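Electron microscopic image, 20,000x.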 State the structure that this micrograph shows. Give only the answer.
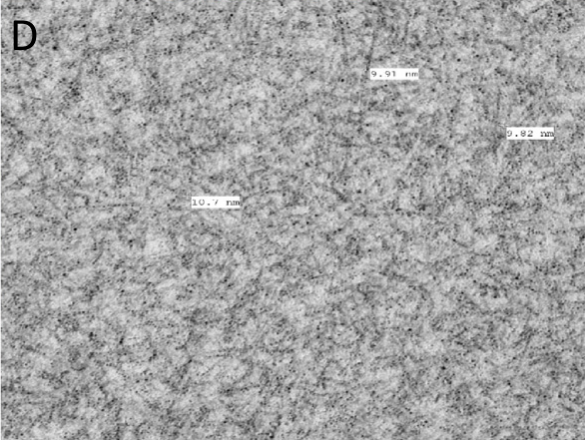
Randomly arranged, non-branching fibrils.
